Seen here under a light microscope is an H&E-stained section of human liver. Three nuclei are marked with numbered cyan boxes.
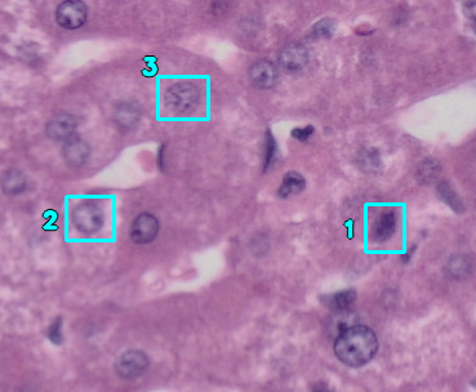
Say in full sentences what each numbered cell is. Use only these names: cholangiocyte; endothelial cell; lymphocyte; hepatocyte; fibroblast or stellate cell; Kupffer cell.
Cell 1 is a fibroblast or stellate cell, cell 2 is a hepatocyte and cell 3 is a hepatocyte.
